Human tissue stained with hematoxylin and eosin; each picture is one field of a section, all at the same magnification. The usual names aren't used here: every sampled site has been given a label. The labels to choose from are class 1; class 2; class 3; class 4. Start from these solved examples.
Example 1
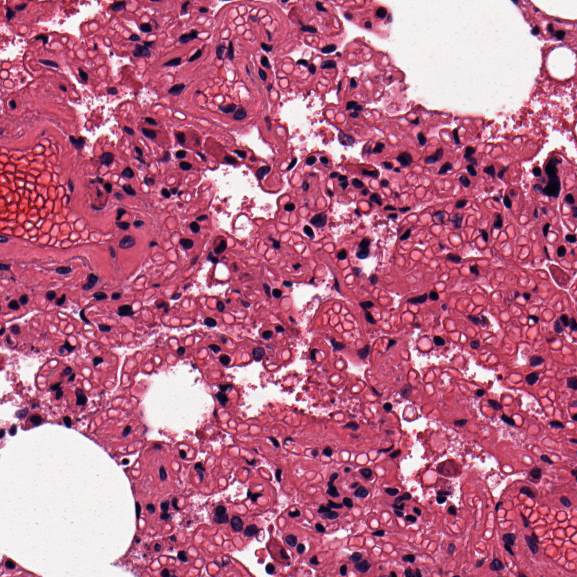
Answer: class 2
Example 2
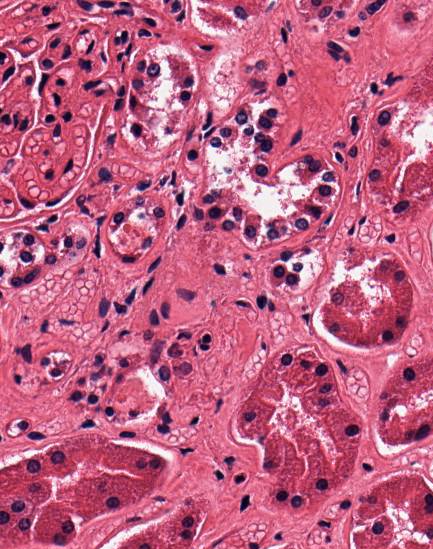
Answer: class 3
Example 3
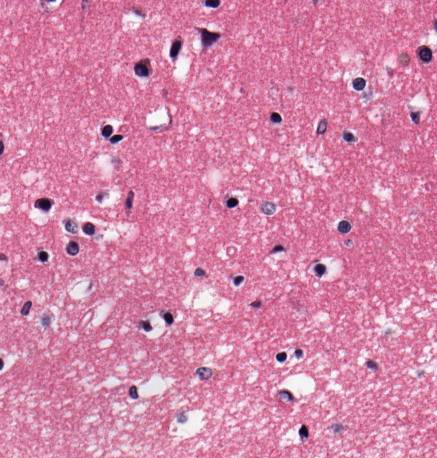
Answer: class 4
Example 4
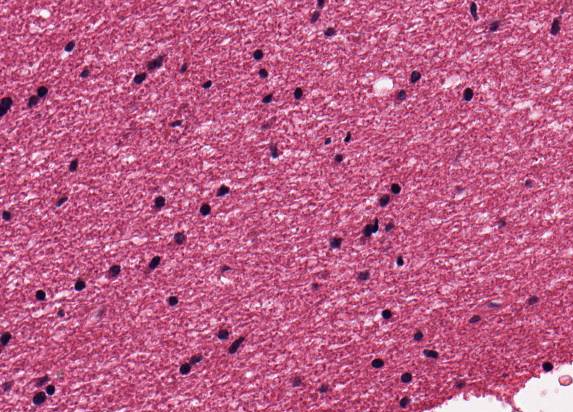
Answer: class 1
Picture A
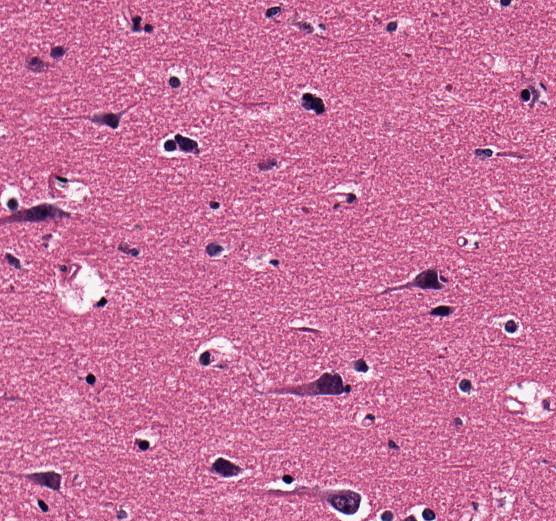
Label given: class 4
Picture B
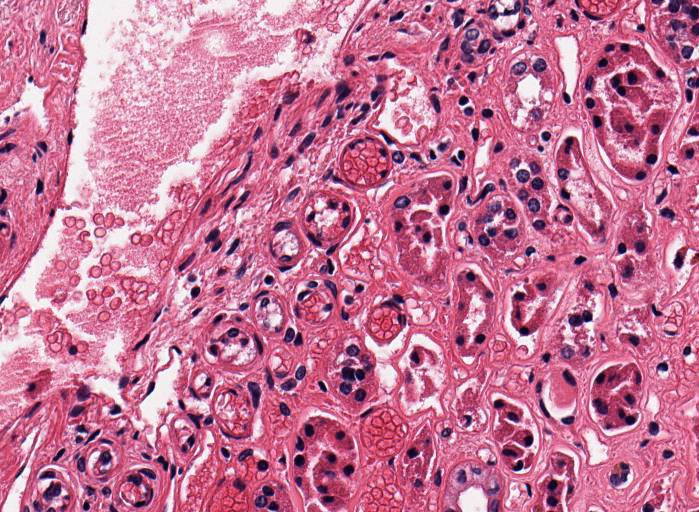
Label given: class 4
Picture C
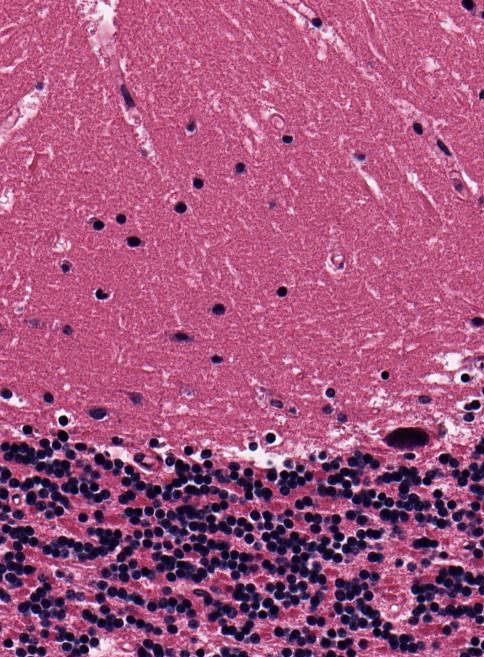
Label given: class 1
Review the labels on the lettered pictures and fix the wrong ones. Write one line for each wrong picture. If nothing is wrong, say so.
B is labelled class 4; correct label: class 3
